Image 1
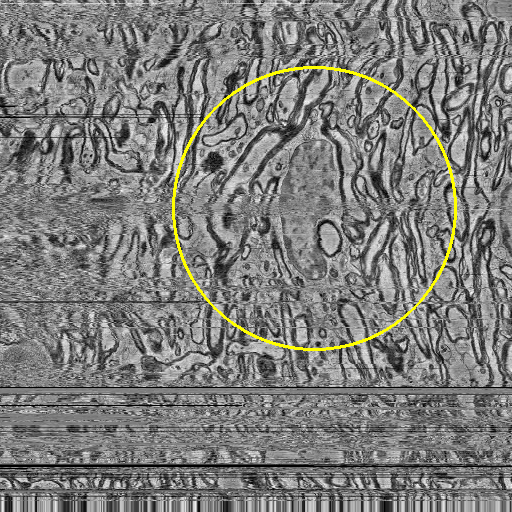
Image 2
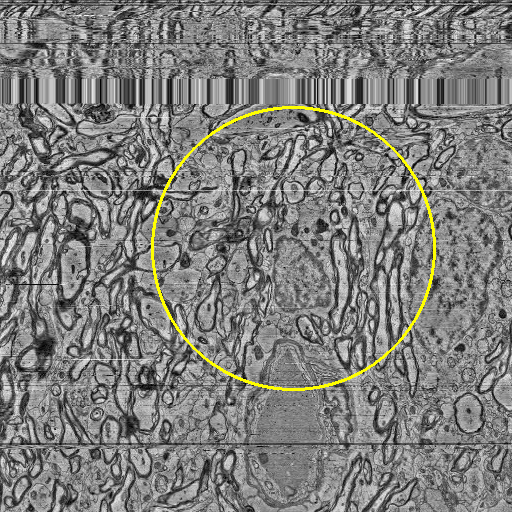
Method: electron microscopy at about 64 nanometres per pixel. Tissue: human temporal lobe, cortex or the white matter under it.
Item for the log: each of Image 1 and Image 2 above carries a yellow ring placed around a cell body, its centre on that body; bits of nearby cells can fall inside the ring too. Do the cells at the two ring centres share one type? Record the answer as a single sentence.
No, the two cells at the ring centres in Image 1 and Image 2 are of two types.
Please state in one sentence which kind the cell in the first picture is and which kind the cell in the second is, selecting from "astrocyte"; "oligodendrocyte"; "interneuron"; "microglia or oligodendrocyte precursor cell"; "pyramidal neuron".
The first ringed cell is a microglial cell or oligodendrocyte precursor cell, the second ringed cell an oligodendrocyte.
